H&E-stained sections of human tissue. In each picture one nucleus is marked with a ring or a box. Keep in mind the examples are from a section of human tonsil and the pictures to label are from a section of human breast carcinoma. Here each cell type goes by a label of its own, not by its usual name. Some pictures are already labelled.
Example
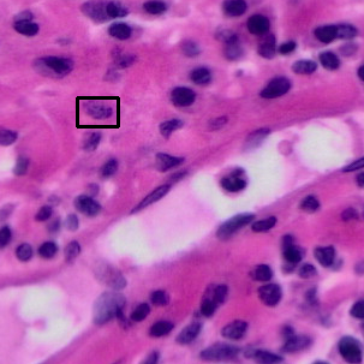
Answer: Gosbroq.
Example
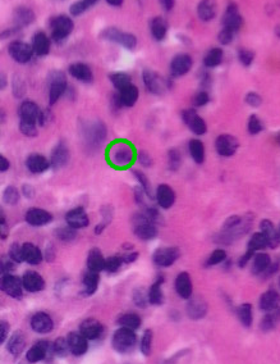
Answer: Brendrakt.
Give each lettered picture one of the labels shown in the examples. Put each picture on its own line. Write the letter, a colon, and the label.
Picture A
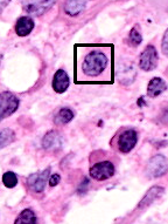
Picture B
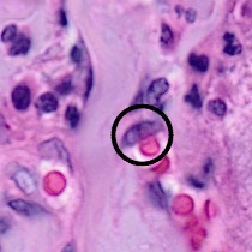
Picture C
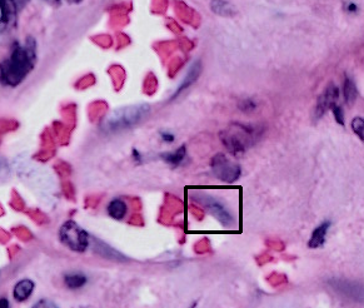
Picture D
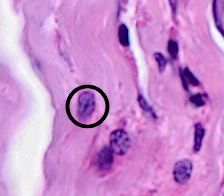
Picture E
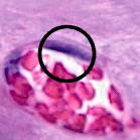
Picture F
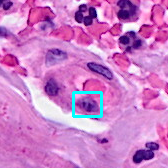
A: Gosbroq.
B: Brendrakt.
C: Brendrakt.
D: Gosbroq.
E: Brendrakt.
F: Brendrakt.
